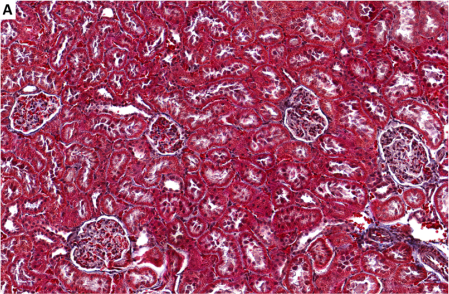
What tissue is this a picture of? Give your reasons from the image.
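Several round glomerular tufts are each surrounded by a thin clear space and a capsule. Densely packed tubules in cross-section, lined by cuboidal epithelium, fill the rest of the field. Thin blue-stained connective tissue lies between the tubules.
Answer: kidney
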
